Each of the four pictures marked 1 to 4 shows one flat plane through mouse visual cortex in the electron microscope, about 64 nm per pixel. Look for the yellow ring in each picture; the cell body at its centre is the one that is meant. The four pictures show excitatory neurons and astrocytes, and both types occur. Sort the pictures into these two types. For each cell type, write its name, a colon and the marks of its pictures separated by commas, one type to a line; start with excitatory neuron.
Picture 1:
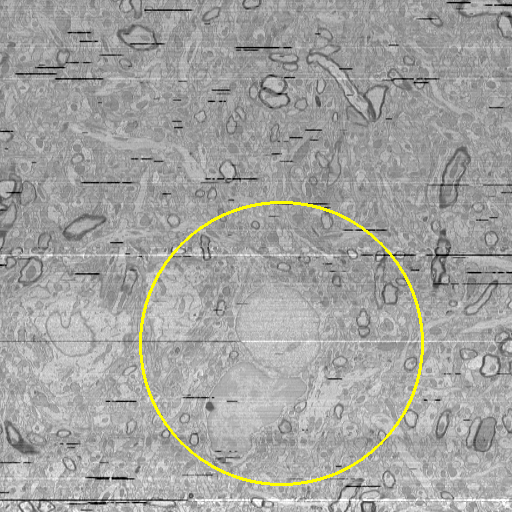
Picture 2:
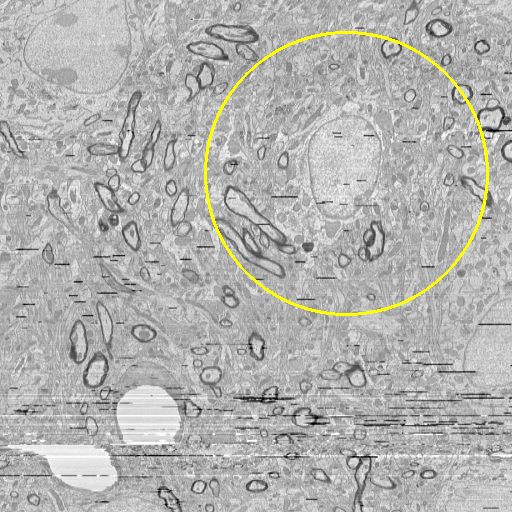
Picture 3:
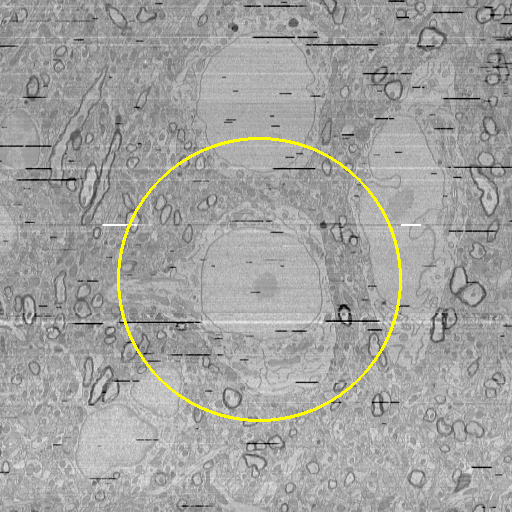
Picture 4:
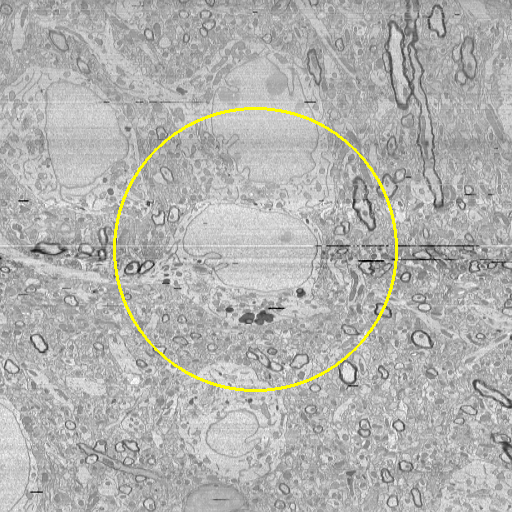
excitatory neuron: 3, 4
astrocyte: 1, 2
